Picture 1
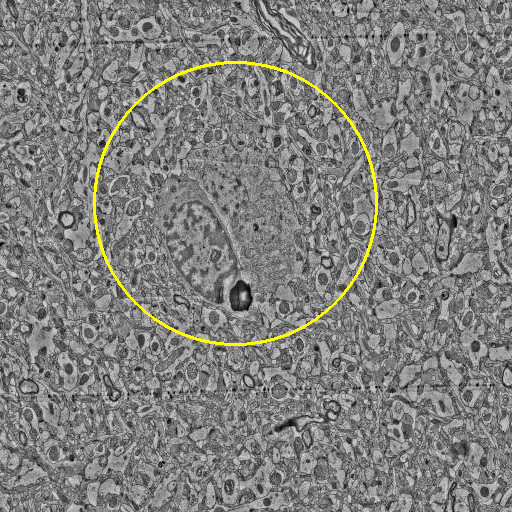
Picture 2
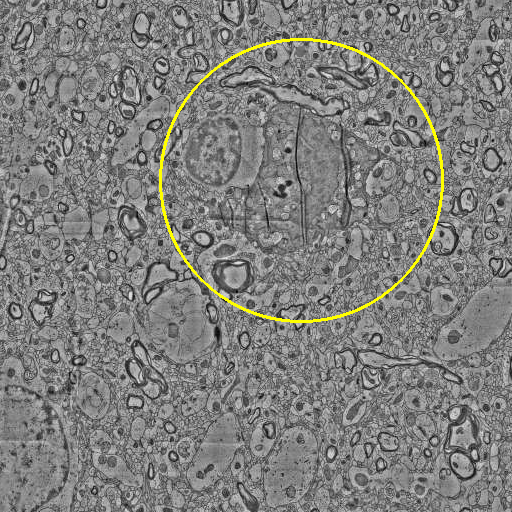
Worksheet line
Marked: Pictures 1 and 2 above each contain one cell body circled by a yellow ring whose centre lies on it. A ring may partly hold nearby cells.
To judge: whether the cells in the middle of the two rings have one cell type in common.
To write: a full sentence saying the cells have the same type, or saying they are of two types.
The cells in the middle of the rings in Picture 1 and Picture 2 have the same type.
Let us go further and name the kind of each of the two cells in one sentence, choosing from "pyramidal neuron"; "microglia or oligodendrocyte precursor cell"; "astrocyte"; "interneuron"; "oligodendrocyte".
Each cell at the centre of a ring is an interneuron.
